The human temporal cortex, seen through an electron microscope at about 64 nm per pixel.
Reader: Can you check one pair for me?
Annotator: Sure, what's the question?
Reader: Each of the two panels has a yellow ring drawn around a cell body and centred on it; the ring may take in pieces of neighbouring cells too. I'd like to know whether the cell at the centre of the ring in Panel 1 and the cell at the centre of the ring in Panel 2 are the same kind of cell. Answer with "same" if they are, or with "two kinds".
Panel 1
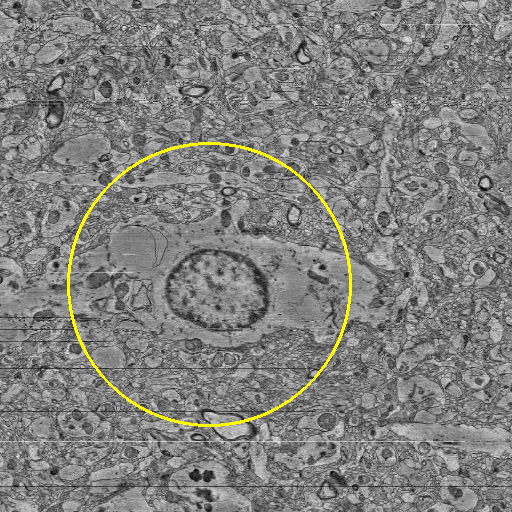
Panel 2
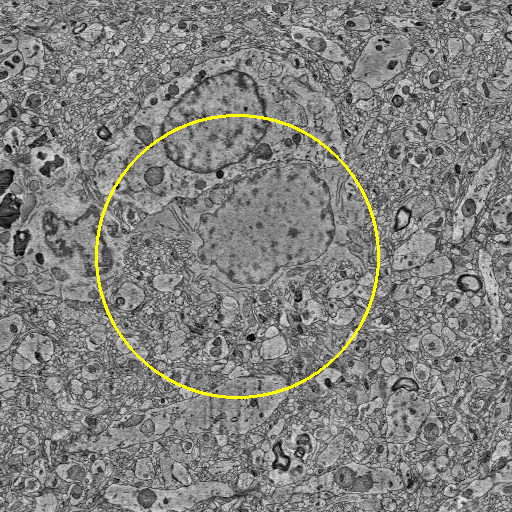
same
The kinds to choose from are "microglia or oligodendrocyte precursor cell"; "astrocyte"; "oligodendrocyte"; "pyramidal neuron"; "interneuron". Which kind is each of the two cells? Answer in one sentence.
In each of the two pictures, the ringed cell is an astrocyte.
